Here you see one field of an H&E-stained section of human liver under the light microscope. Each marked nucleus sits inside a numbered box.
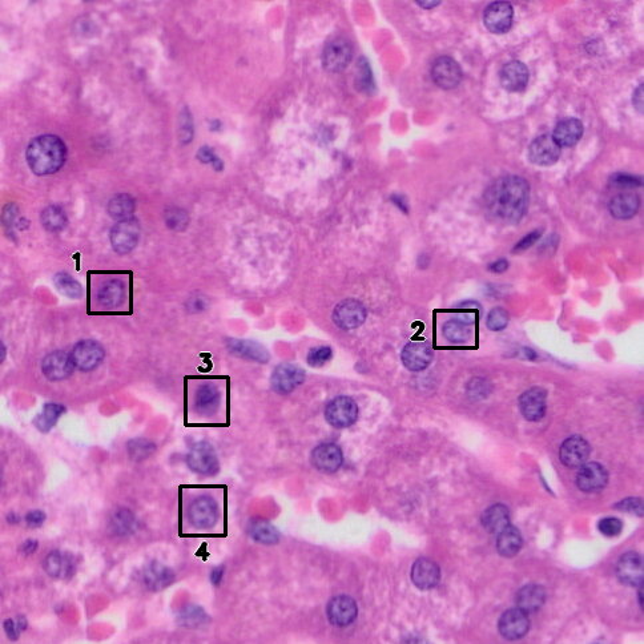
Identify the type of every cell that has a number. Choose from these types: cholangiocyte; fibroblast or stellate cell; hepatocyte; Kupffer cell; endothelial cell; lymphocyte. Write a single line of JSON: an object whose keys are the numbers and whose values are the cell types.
{"1": "hepatocyte", "2": "cholangiocyte", "3": "fibroblast or stellate cell", "4": "hepatocyte"}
